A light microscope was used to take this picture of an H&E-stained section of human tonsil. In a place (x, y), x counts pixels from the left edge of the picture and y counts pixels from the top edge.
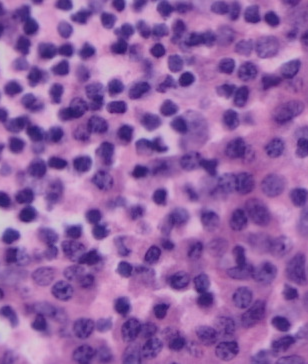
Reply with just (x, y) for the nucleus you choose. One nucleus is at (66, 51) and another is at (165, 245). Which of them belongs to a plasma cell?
(165, 245)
